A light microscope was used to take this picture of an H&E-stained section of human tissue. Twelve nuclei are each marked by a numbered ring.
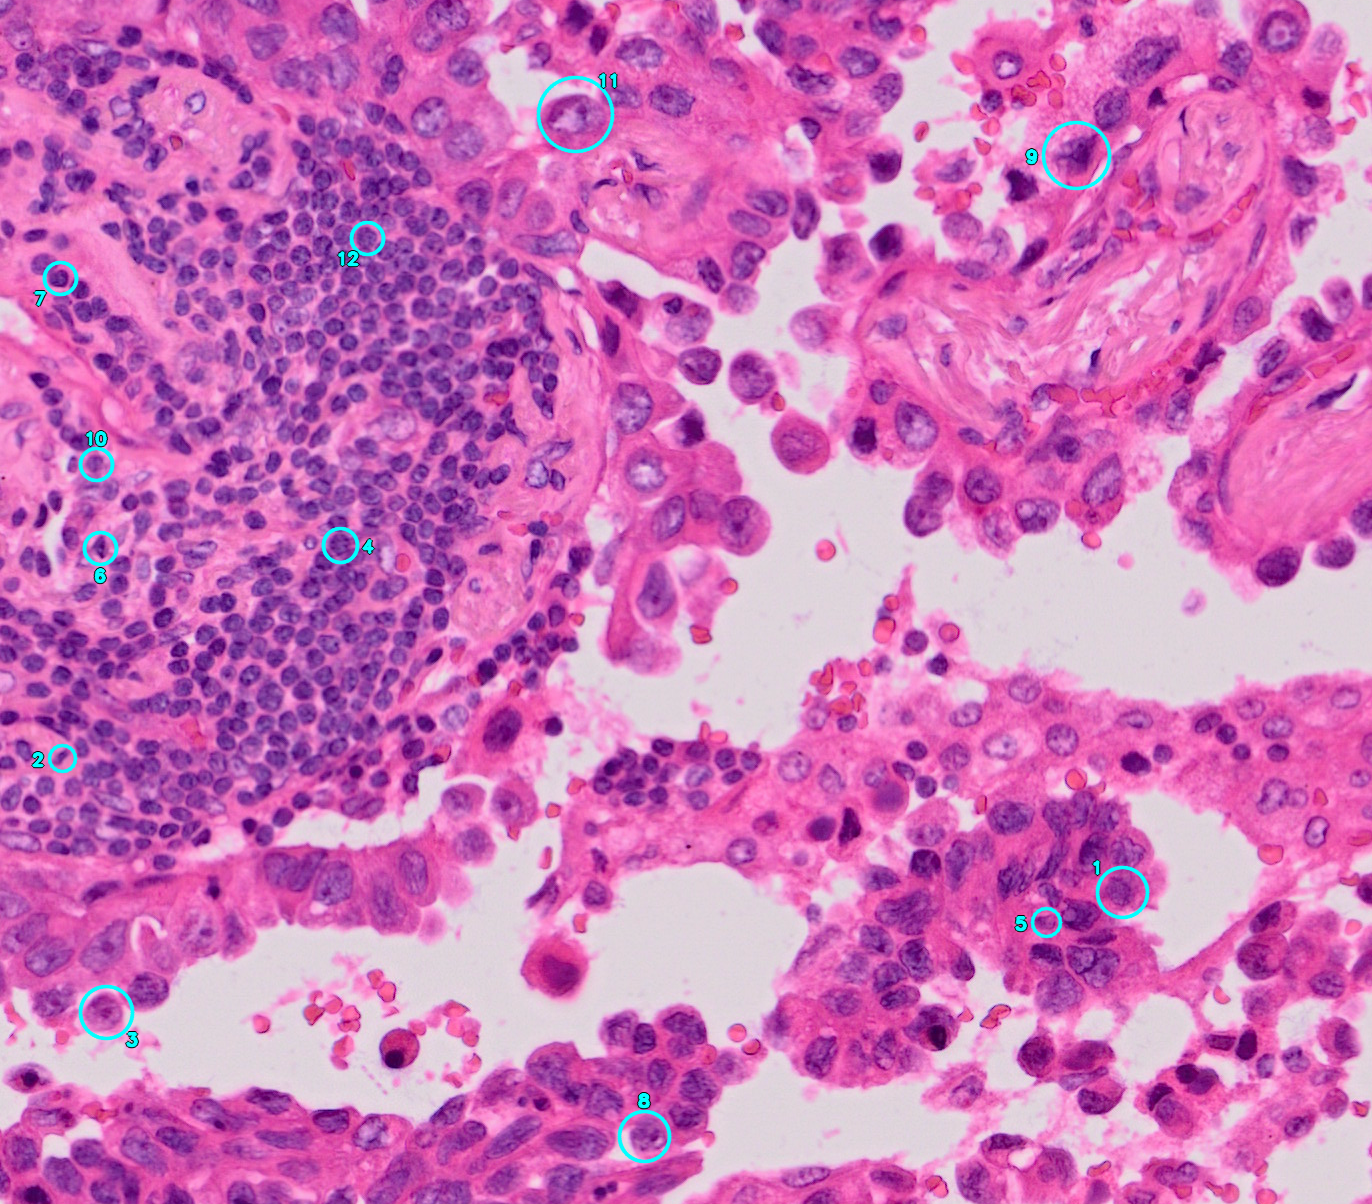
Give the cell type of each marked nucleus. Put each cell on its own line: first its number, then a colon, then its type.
1: carcinoma cell
2: lymphocyte
3: carcinoma cell
4: lymphocyte
5: carcinoma cell
6: lymphocyte
7: lymphocyte
8: carcinoma cell
9: carcinoma cell
10: lymphocyte
11: carcinoma cell
12: lymphocyte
